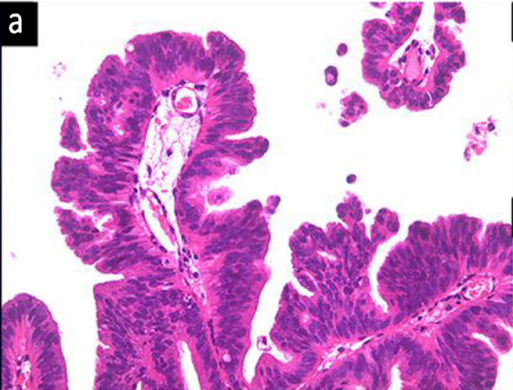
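Villous adenoma, made of slender finger-like fronds, each with a thin core of loose pale connective tissue carrying small blood vessels. The fronds are covered by a single tall layer of columnar epithelial cells whose nuclei are crowded, elongated, dark purple and stacked at different heights, giving a pseudostratified look. Small detached fragments and clusters of the same epithelium lie free in the clear spaces between the fronds. Stroma is scant and confined to the narrow central cores.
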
